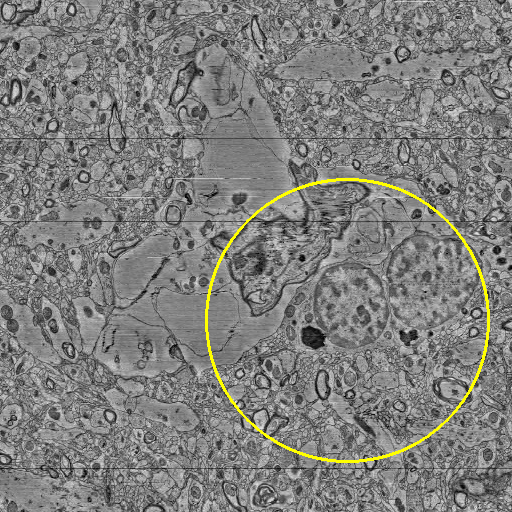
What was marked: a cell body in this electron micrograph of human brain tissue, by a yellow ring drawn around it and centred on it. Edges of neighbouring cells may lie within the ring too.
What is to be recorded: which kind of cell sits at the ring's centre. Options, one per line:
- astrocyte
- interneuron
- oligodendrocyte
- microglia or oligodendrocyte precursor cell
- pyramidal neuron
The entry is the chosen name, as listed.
oligodendrocyte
